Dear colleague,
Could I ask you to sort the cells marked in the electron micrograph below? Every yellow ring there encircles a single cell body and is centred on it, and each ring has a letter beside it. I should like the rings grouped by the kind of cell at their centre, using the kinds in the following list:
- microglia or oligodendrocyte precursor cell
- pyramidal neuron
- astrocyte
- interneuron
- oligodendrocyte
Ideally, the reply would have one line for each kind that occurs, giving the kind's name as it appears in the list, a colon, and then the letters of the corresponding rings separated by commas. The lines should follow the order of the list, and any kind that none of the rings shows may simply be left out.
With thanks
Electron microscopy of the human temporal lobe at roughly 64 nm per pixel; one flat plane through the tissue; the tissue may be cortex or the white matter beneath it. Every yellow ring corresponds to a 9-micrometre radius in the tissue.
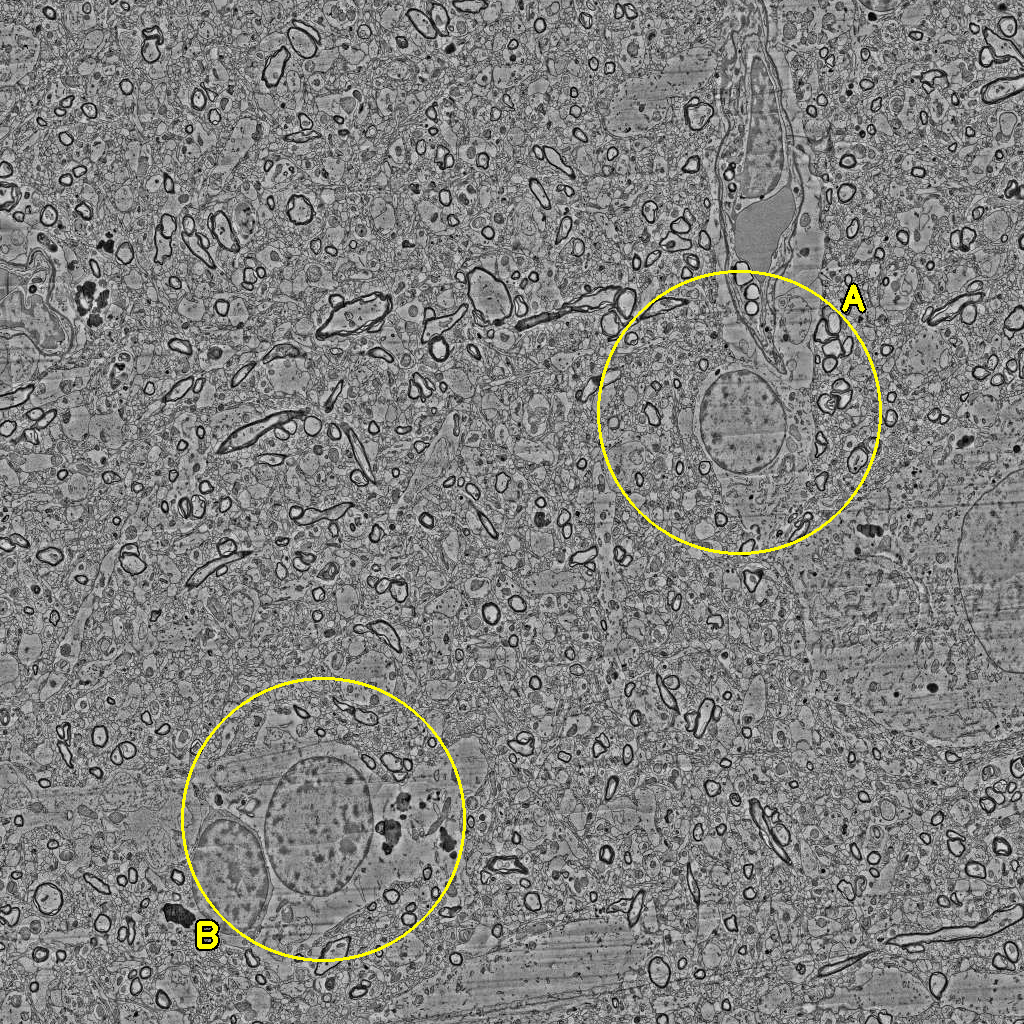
microglia or oligodendrocyte precursor cell: A
astrocyte: B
